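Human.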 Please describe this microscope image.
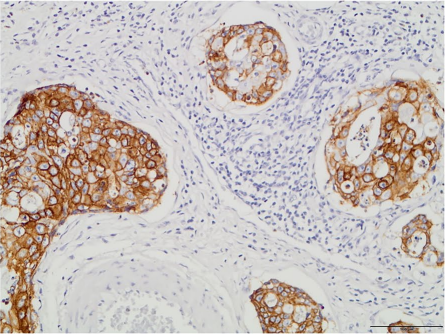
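Here rounded nests of large epithelial cells sit in a blue-staining stroma, and the nests stand out sharply because their cell borders are outlined in brown. The brown forms complete rings around individual cells, giving each nest a chicken-wire pattern, while the nuclei inside stay blue. Many of the cells in the nests have pale, bubbly, vacuolated cytoplasm, and some nests surround small open spaces. A clear gap separates several nests from the surrounding stroma. The stroma between the nests is made of spindle-shaped cells and scattered small round nuclei, and it shows no brown at all.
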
